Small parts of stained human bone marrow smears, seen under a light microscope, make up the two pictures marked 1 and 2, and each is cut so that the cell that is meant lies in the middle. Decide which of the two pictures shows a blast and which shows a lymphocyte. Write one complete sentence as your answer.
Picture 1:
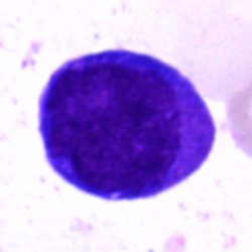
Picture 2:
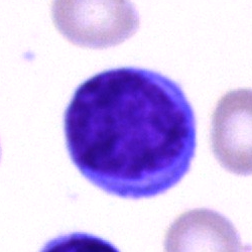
The cell in picture 1 is a blast, and the one in picture 2 is a lymphocyte.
